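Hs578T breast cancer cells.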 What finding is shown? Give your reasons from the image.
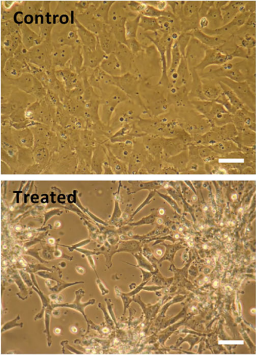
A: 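Upper field shows spread, flattened cells. Lower field shows cells drawn into elongated, branching shapes with bright rounded cells between them.
Answer: Morphological changes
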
